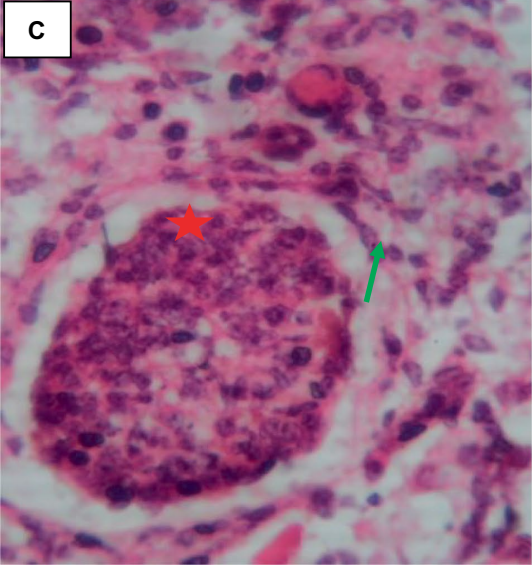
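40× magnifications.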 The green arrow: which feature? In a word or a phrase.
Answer: Bowman’s capsule.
